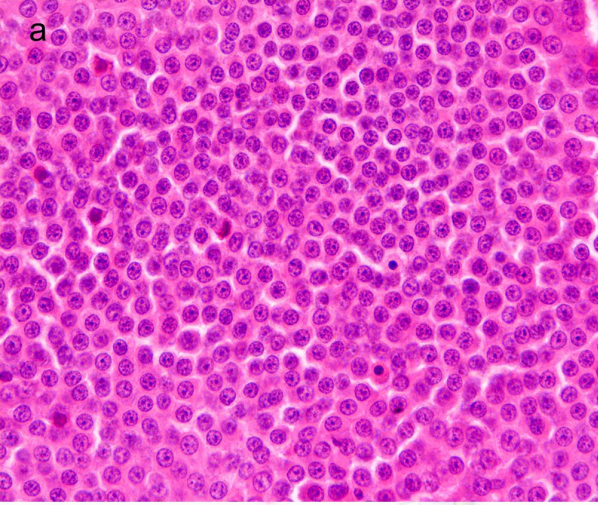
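This tumor tissue consists of polygonal cells arranged in a solid, compact sheet, with no open follicles or lumina visible in the field. The cells are closely packed and fairly uniform in size. Each has a round, centrally placed nucleus with finely granular chromatin and small nucleoli, surrounded by a moderate amount of pink cytoplasm. Scattered small, dark, condensed bodies are present among the cells. Stroma between the cells is scant.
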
